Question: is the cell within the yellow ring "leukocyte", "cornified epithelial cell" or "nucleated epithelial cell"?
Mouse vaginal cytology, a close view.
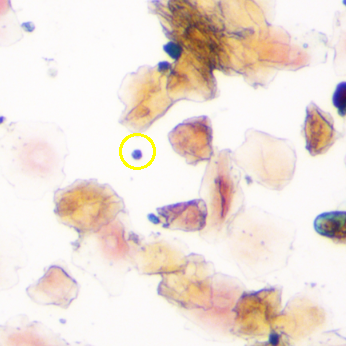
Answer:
leukocyte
